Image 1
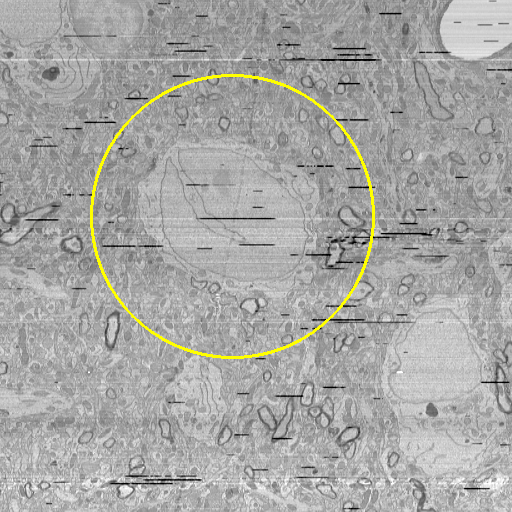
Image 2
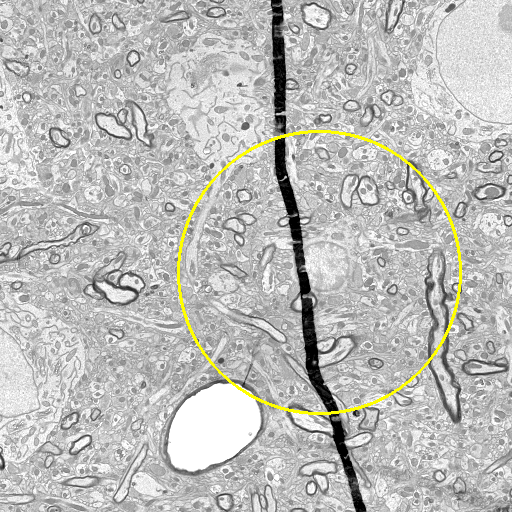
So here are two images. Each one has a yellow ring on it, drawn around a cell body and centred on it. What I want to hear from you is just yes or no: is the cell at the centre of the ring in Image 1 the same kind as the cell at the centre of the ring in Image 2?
no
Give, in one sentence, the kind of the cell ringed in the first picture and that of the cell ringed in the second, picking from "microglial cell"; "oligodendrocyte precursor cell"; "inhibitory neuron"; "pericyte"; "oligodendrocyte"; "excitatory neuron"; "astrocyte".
For the first picture it is an excitatory neuron; for the second, an oligodendrocyte.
